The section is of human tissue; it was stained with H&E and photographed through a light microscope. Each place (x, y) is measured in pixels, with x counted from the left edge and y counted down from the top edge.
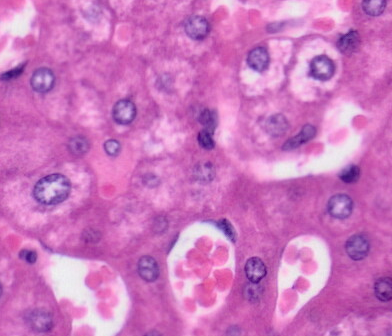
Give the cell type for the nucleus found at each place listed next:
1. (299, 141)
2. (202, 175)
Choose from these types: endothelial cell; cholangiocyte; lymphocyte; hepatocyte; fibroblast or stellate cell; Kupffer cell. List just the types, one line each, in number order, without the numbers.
Kupffer cell
hepatocyte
